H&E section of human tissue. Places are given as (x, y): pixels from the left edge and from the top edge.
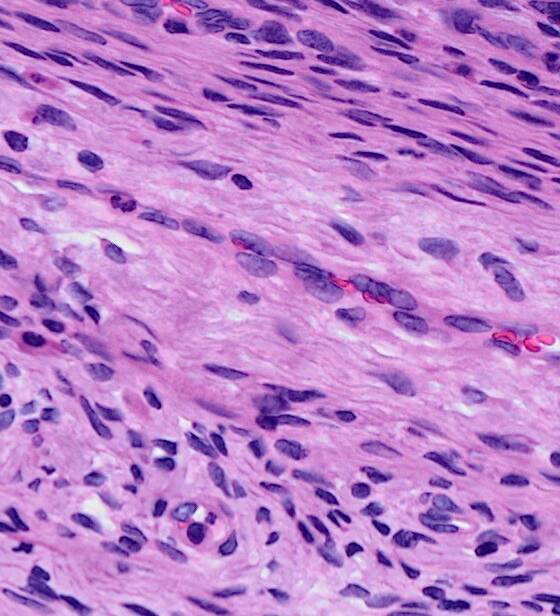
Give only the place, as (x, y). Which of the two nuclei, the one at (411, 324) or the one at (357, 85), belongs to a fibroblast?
(357, 85)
